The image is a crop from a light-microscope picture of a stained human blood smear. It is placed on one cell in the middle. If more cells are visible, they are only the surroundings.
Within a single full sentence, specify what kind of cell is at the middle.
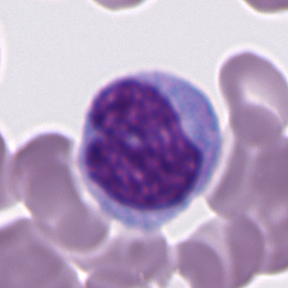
This particular crop is centered on a monocyte.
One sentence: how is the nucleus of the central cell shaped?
If you check the nucleus, you will find one compact mass, round, oval or kidney-shaped.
